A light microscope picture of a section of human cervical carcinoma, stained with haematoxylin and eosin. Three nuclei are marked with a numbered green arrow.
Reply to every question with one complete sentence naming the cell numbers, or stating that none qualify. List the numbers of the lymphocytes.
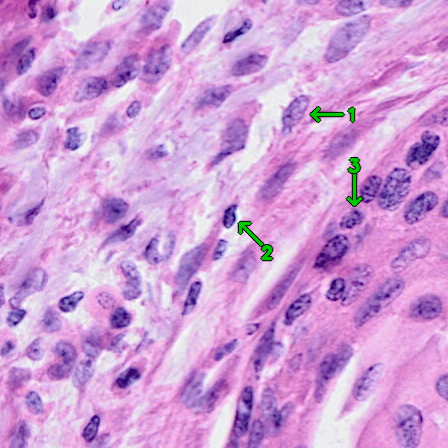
Cell 2 is a lymphocyte; the remaining numbered cells are not.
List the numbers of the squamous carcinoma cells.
Among the labelled cells, only the cell labelled 3 is a squamous carcinoma cell.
